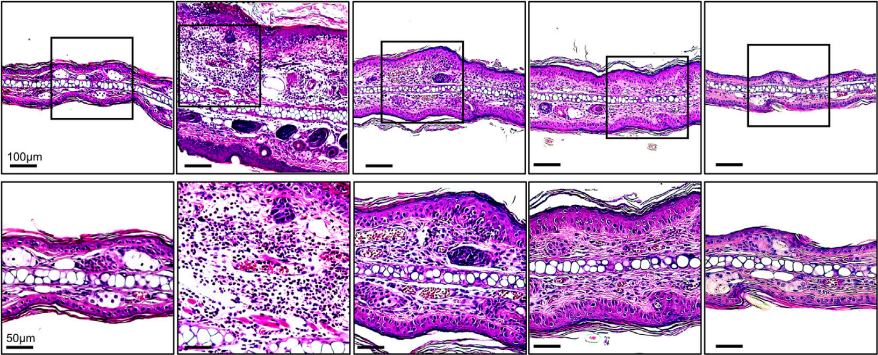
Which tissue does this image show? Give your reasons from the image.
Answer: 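Ear skin. A thin section is covered on both faces by a stratified epithelium. A central plate of vacuolated cells runs along the middle of the section, as in ear cartilage. Connective tissue lies between the epithelial surfaces and the central plate.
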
